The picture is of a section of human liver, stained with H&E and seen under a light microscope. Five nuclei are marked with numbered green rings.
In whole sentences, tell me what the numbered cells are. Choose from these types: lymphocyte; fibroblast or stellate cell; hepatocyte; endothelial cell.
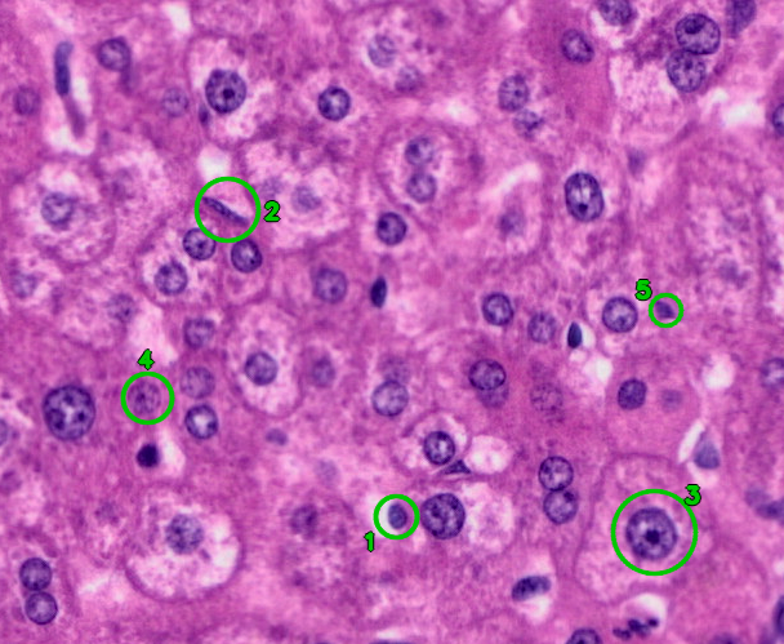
Cell 1 is a lymphocyte. Cell 2 is an endothelial cell. Cells 3 and 4 are hepatocytes. Cell 5 is a fibroblast or stellate cell.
